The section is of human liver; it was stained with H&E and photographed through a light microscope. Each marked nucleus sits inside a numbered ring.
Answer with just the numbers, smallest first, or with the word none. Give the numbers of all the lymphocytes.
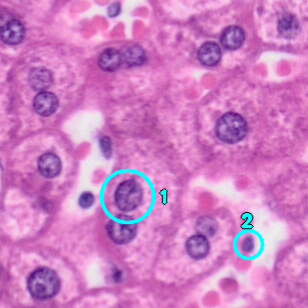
2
